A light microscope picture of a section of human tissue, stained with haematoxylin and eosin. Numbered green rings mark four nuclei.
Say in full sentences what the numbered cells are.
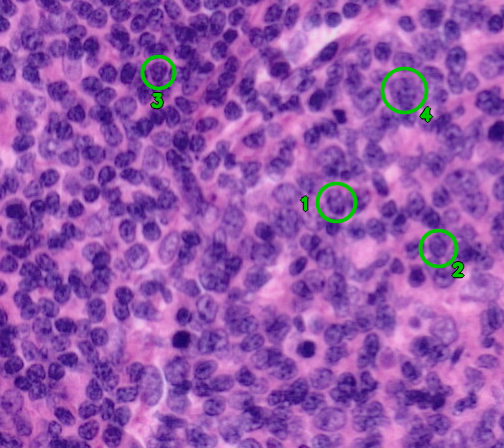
Cells 1, 2 and 4 are proliferating B cells. Cell 3 is a small lymphocyte.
